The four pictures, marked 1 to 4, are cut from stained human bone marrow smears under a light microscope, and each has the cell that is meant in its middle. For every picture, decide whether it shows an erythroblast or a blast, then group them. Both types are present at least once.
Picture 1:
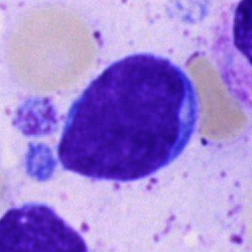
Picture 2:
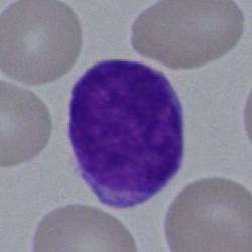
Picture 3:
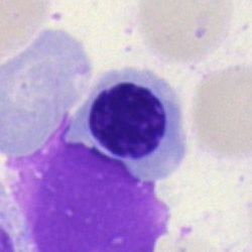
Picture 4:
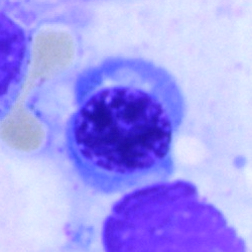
1: blast
2: blast
3: erythroblast
4: erythroblast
